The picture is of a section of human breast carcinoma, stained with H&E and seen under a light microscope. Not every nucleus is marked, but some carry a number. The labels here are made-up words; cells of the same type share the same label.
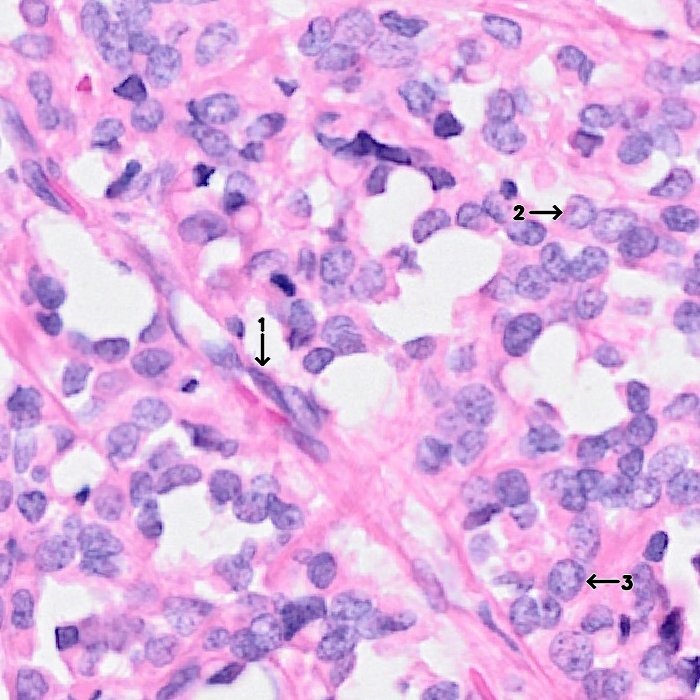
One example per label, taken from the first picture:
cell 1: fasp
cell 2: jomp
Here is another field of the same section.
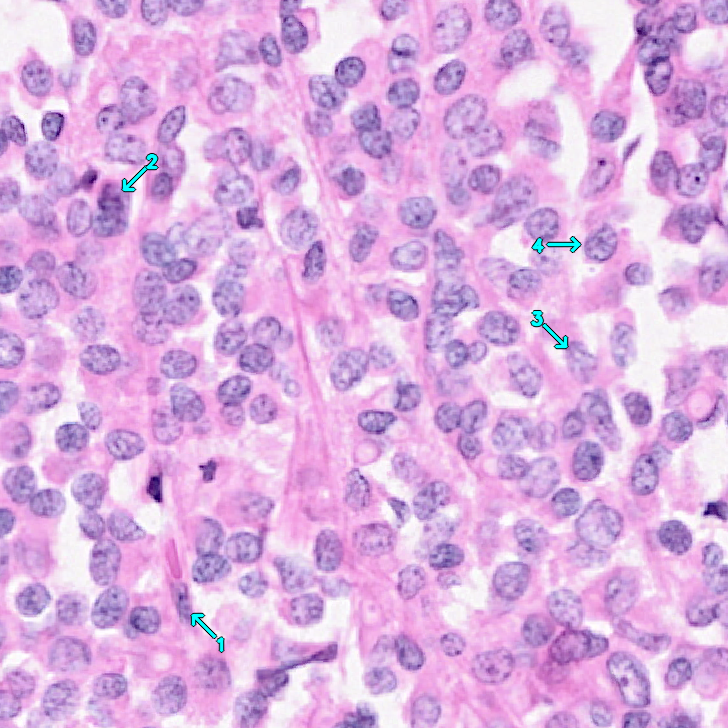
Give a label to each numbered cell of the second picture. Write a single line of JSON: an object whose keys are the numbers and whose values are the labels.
{"1": "fasp", "2": "jomp", "3": "jomp", "4": "jomp"}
